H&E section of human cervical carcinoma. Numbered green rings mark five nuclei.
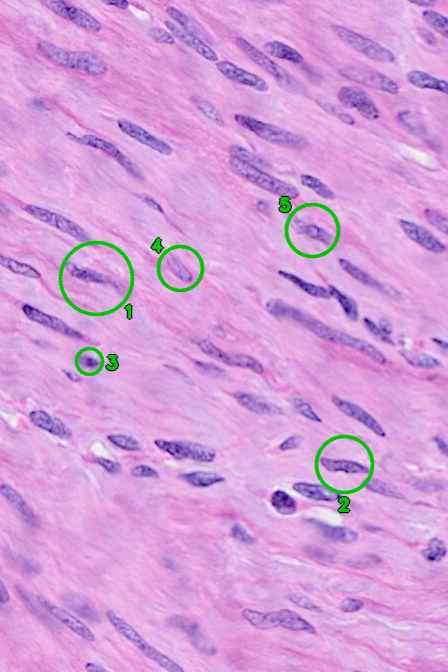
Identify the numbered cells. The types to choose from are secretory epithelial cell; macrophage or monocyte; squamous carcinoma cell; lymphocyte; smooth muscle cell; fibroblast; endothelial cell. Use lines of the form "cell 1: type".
cell 1: smooth muscle cell
cell 2: fibroblast
cell 3: fibroblast
cell 4: smooth muscle cell
cell 5: smooth muscle cell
